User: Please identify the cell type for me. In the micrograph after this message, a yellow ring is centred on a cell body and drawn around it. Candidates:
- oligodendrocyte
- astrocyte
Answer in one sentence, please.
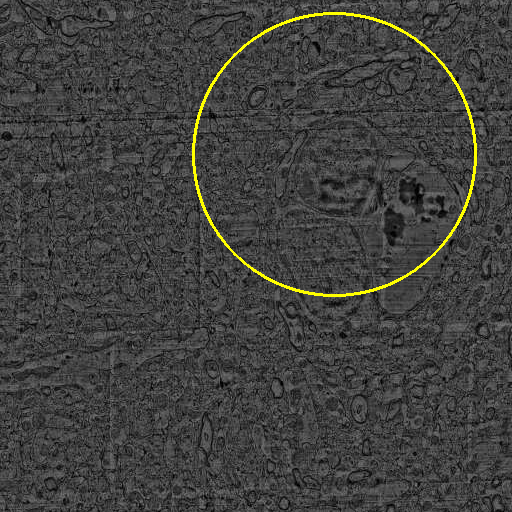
The ring is drawn around the cell body of an oligodendrocyte.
